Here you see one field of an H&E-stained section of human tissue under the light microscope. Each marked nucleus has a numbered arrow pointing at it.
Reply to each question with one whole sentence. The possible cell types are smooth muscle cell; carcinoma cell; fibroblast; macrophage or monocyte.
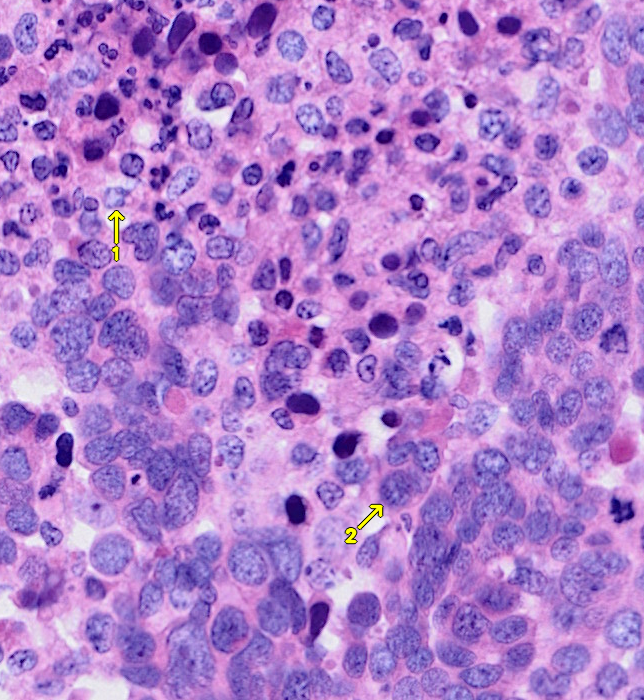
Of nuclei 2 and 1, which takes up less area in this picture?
It is nucleus 1; nucleus 2 has about 2.5 times its area.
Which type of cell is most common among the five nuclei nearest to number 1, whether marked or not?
Macrophages or monocytes account for more than half of the five nuclei nearest to number 1.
